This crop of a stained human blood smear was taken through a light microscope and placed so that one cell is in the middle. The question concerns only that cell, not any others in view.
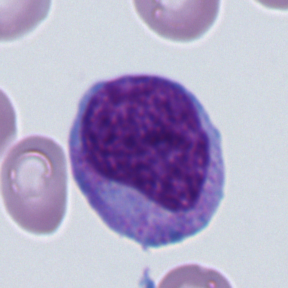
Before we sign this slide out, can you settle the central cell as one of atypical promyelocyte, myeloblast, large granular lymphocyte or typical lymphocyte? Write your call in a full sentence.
The target cell in the middle of the crop is an atypical promyelocyte.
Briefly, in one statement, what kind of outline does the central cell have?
If you check the edge, you will find it smooth without projections.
